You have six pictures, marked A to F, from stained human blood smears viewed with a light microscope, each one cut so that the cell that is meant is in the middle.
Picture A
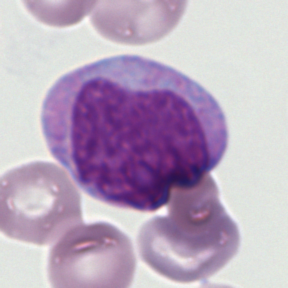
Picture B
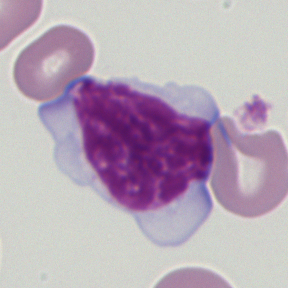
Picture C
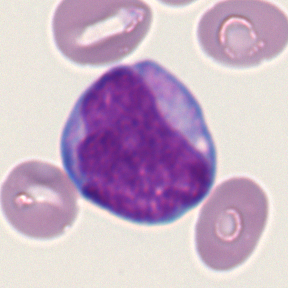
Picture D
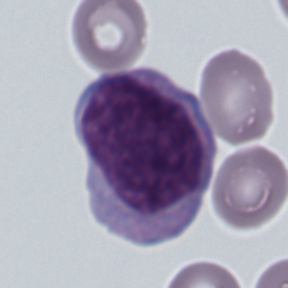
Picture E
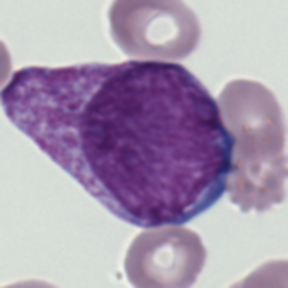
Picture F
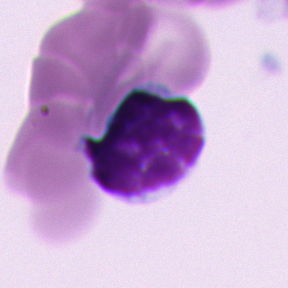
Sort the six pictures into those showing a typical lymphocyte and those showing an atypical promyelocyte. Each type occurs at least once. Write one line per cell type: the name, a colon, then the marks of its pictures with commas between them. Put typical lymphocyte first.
typical lymphocyte: B, F
atypical promyelocyte: A, C, D, E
